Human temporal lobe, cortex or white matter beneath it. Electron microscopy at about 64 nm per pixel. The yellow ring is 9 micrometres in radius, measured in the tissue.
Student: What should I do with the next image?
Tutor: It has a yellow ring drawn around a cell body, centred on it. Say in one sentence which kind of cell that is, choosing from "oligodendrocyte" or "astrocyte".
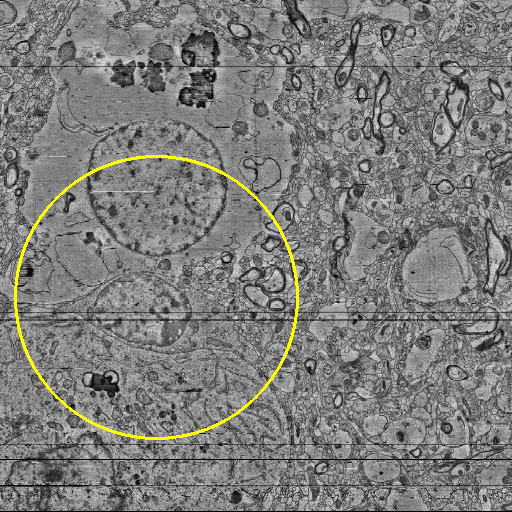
The ring's centre is occupied by an oligodendrocyte.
